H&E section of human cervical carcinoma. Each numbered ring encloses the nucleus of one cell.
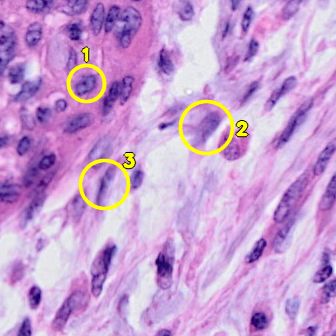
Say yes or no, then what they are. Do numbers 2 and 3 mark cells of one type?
Yes, both are fibroblasts.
